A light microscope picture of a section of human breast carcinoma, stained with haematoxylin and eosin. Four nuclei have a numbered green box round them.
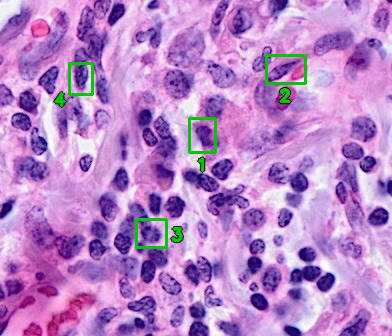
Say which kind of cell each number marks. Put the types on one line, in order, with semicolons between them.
lymphocyte; endothelial cell; lymphocyte; lymphocyte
